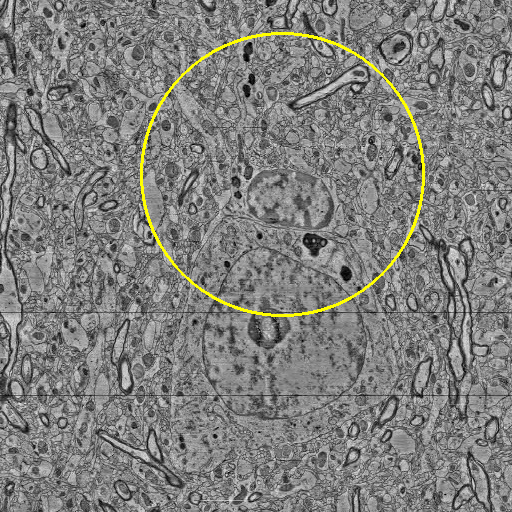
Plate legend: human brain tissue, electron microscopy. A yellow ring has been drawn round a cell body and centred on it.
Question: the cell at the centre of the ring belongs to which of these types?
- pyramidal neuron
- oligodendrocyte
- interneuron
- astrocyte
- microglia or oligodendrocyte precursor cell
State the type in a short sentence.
The cell in the middle of the ring is a microglial cell or oligodendrocyte precursor cell.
